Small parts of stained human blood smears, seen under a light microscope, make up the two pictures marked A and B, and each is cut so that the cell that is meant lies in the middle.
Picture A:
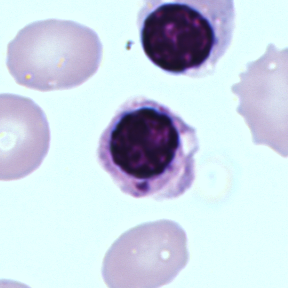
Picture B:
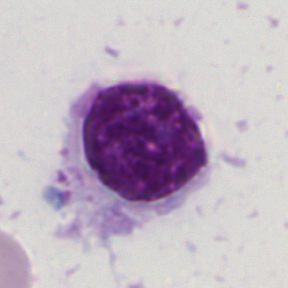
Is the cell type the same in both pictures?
no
